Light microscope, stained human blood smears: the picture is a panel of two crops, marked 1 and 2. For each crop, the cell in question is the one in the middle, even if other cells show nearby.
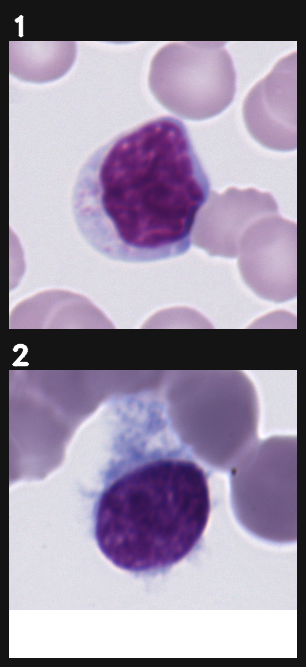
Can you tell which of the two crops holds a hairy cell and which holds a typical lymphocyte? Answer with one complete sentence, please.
Respectively, crops 1 and 2 show a typical lymphocyte and a hairy cell.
